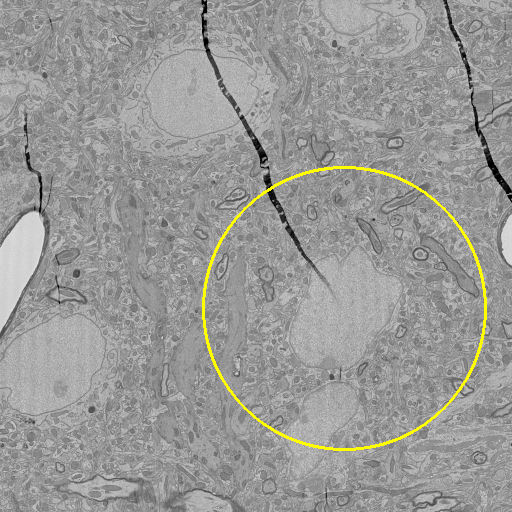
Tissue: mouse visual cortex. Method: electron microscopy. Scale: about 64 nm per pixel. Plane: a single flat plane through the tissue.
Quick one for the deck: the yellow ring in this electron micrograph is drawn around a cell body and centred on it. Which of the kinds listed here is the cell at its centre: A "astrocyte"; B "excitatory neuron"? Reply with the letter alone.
A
